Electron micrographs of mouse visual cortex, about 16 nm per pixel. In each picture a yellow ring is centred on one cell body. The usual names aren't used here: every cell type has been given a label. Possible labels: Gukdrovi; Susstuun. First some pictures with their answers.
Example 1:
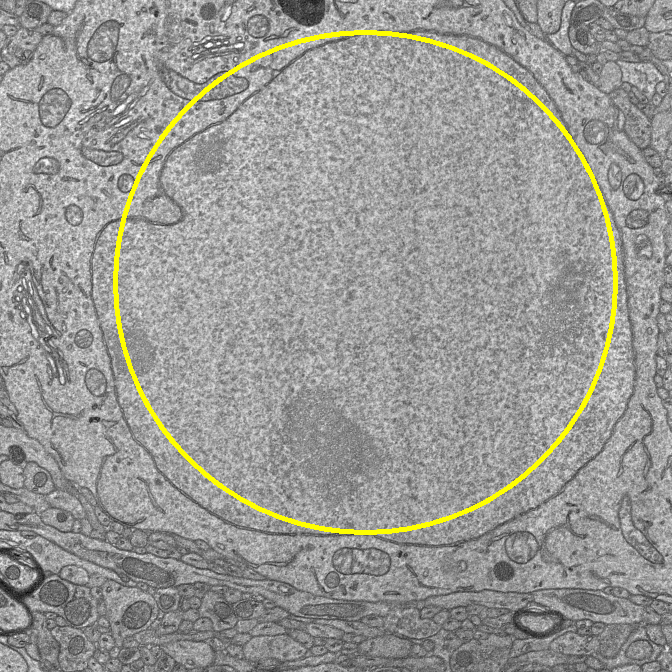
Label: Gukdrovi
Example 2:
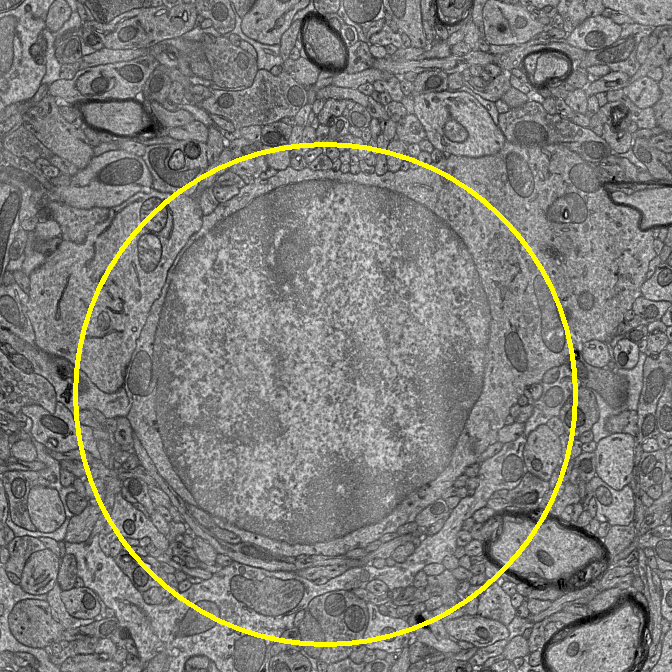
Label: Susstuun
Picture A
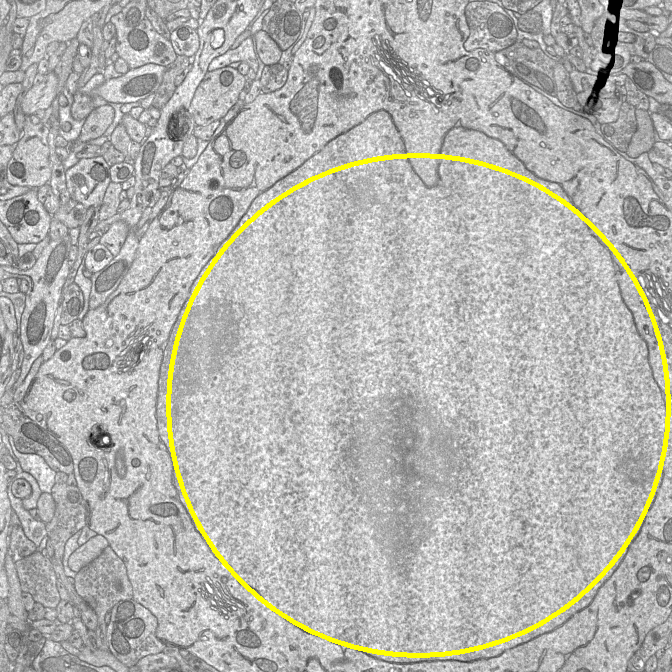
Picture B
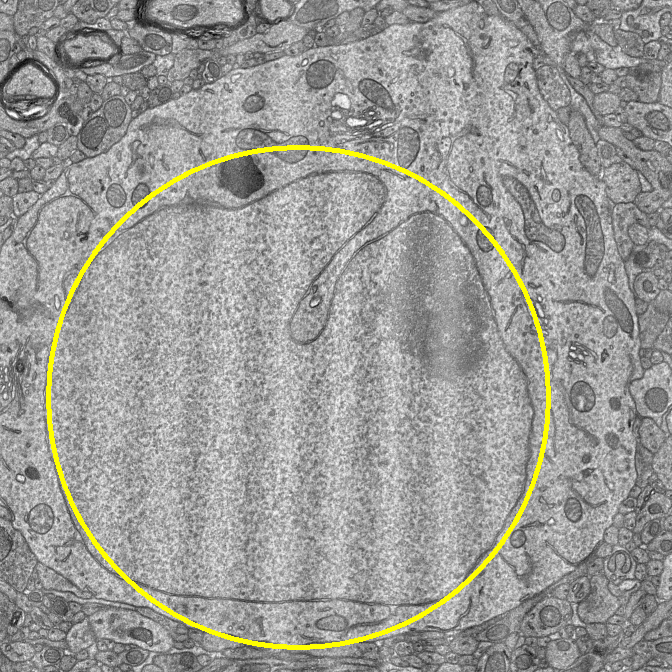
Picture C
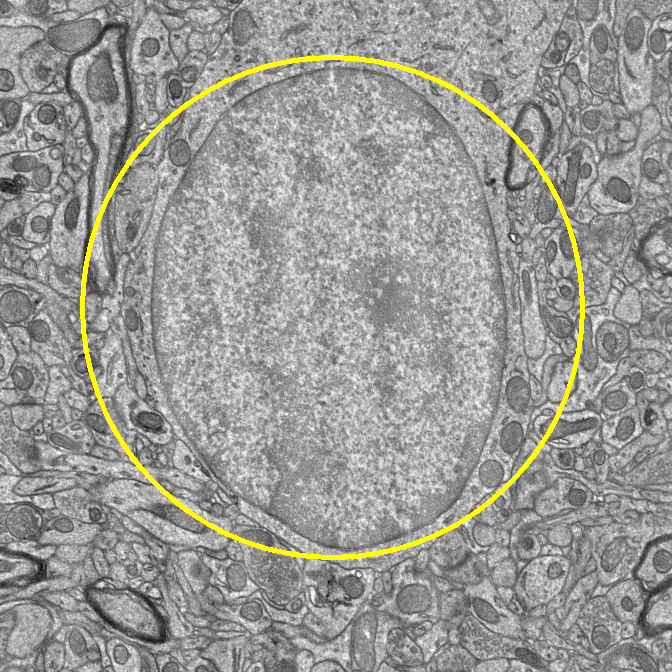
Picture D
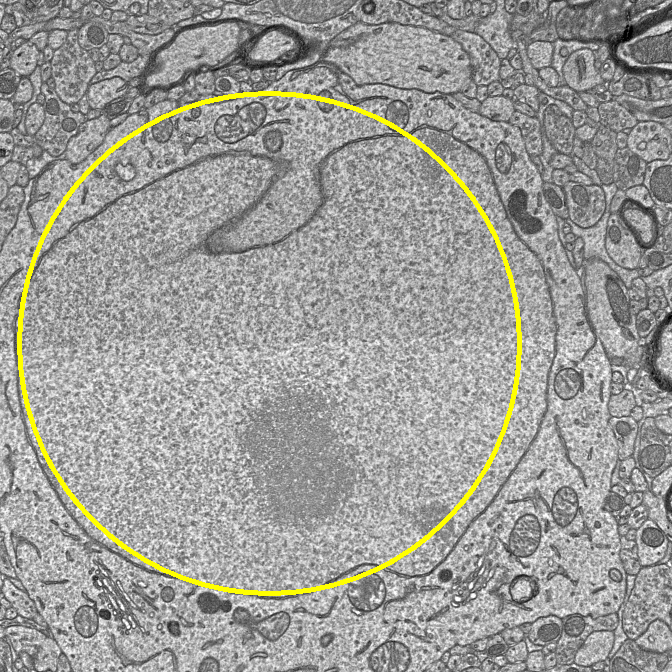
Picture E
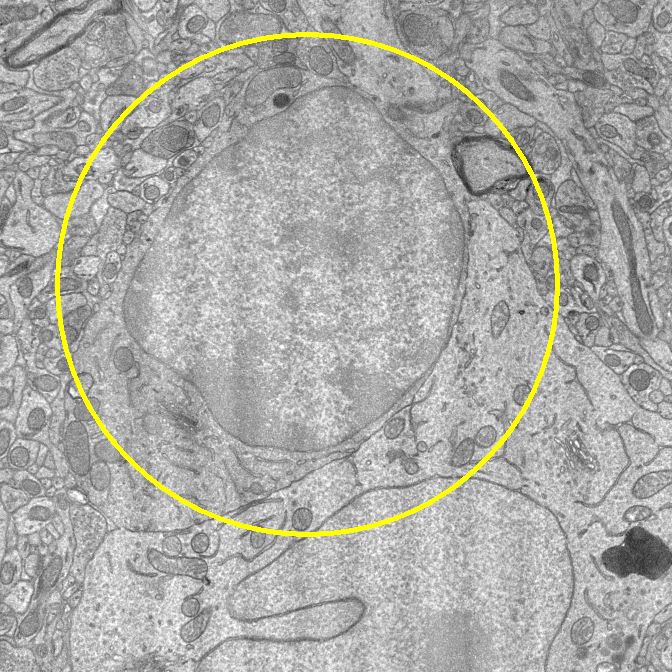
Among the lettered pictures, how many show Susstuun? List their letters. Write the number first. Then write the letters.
2: C, E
